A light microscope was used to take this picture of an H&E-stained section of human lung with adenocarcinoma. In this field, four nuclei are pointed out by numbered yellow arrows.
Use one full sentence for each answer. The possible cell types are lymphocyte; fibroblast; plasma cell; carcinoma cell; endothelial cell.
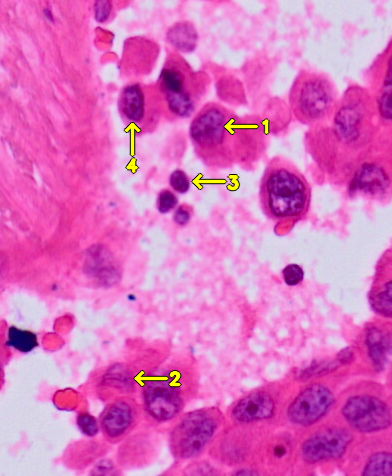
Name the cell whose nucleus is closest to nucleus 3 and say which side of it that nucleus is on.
A lymphocyte lies closest, below and to the left of nucleus 3.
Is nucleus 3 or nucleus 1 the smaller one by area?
Number 3 is smaller, since number 1 takes up about 2 times as much area.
